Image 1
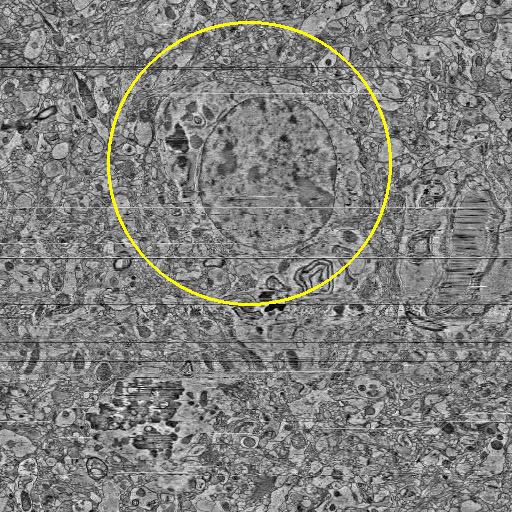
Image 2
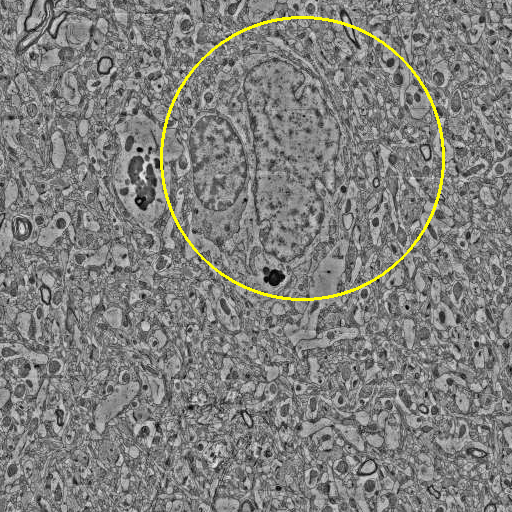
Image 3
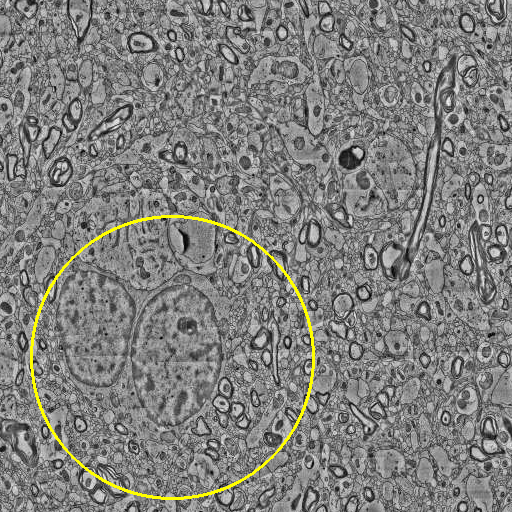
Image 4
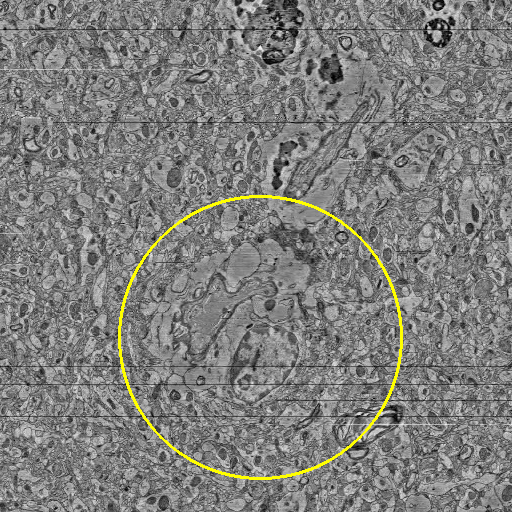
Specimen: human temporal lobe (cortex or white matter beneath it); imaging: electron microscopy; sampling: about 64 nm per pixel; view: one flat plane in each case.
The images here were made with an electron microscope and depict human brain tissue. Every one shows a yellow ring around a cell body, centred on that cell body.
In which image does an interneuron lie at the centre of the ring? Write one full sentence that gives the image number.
My answer is image 2, where the asked-for cell sits at the centre of the ring.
